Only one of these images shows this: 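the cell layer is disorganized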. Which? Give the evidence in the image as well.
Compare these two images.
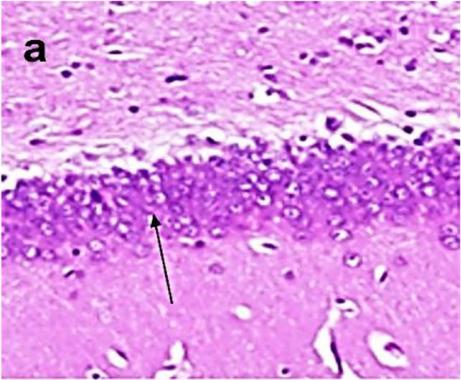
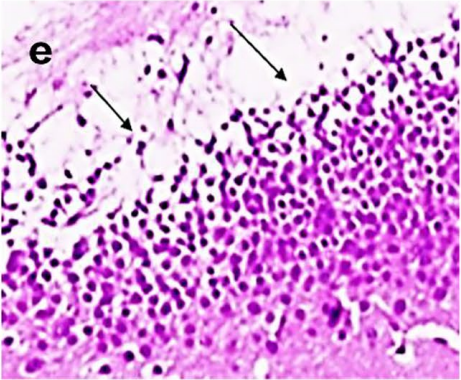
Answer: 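The second image. Second image: cells are crowded irregularly in a broad mass with pale spaces nearby. First image: cells form a compact, orderly band with even borders.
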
